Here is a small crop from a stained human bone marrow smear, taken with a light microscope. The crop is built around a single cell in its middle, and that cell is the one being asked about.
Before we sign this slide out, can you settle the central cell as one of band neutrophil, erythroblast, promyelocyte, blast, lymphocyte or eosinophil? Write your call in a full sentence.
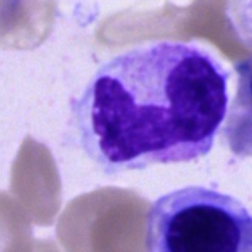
The cell positioned in the middle of the field is a band neutrophil.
